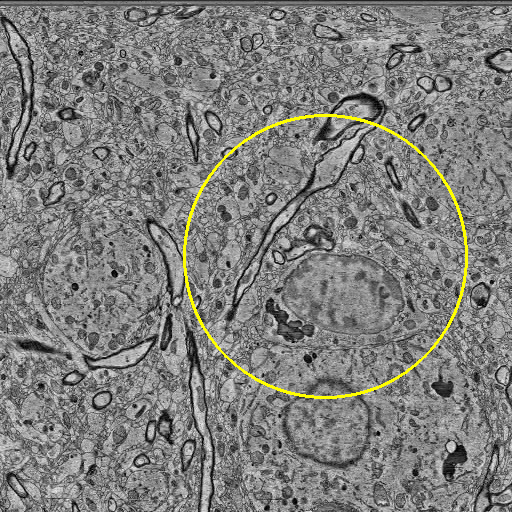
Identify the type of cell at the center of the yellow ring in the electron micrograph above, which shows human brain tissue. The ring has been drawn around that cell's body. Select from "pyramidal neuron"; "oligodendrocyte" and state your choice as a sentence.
The yellow ring is centered on the body of an oligodendrocyte.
